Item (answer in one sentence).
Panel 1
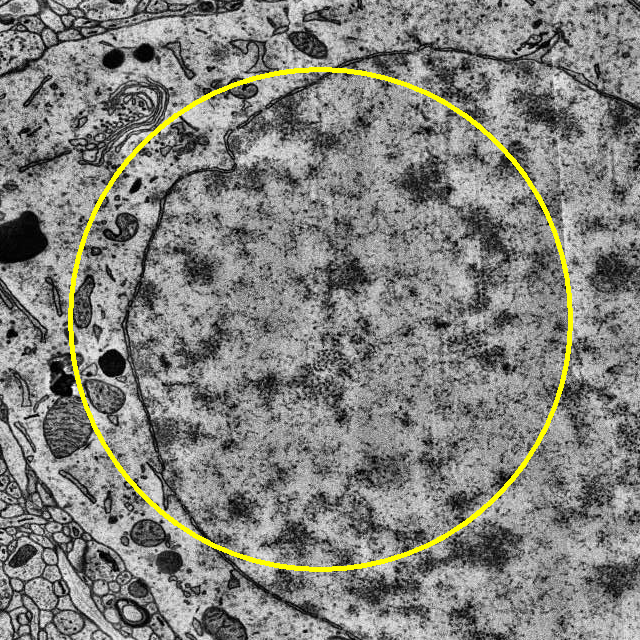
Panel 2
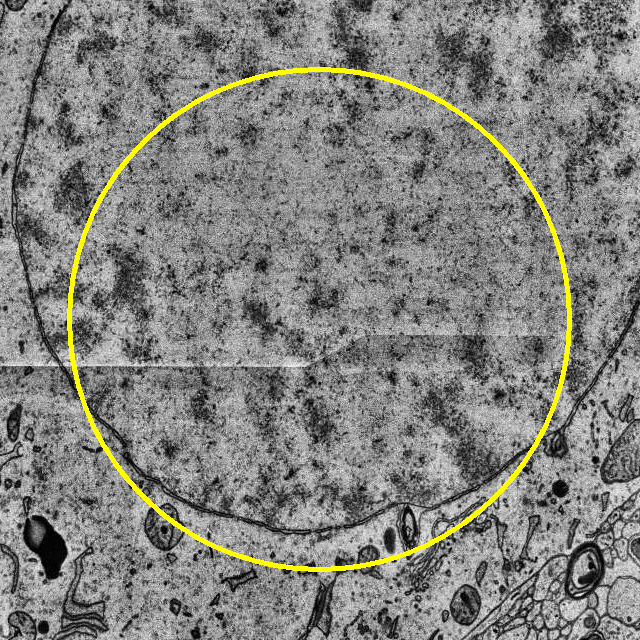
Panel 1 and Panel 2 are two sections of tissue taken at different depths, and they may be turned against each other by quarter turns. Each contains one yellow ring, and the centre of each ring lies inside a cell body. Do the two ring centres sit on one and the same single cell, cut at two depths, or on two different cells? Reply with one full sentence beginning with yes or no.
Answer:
Yes, the marked cell is the same in both rings.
